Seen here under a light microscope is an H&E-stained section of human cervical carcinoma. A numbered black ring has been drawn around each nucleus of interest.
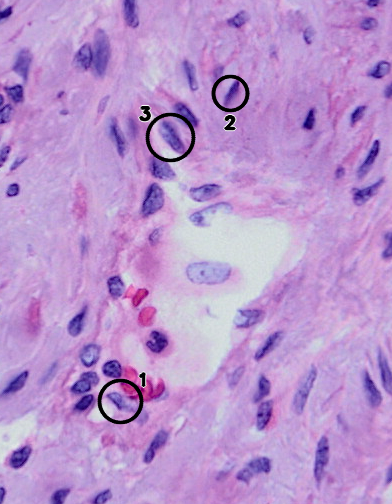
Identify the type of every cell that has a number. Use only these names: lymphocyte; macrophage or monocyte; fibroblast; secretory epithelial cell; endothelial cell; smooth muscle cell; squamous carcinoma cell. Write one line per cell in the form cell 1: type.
cell 1: endothelial cell
cell 2: smooth muscle cell
cell 3: endothelial cell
